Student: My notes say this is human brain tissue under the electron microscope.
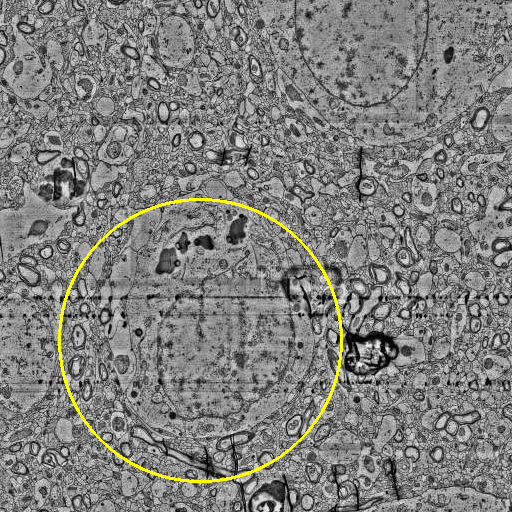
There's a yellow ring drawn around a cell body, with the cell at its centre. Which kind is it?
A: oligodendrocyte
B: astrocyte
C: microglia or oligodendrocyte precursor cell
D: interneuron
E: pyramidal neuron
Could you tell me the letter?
D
